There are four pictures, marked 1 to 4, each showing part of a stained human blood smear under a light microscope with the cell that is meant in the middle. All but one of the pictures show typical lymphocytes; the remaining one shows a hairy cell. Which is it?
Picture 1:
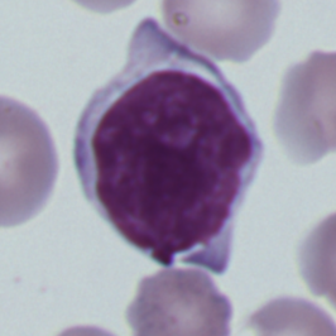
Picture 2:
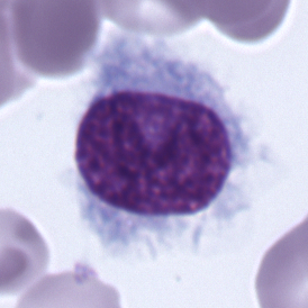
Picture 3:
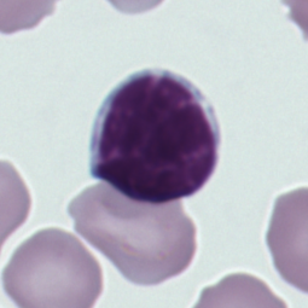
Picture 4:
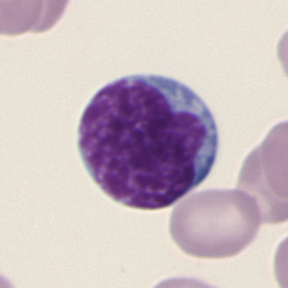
2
